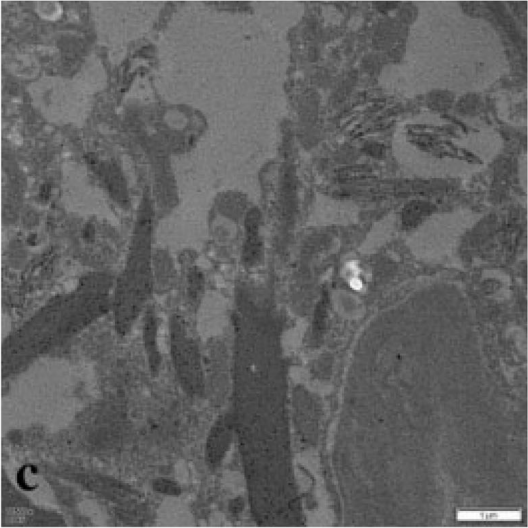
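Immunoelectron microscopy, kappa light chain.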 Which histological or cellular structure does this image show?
crystalline inclusions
